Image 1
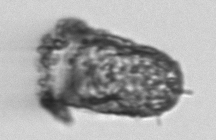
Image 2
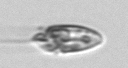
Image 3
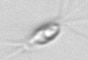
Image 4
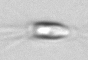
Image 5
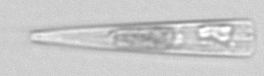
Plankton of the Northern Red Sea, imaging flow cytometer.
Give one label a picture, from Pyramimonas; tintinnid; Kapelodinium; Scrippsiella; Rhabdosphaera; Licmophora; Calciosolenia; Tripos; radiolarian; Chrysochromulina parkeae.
(1) tintinnid
(2) Kapelodinium
(3) Chrysochromulina parkeae
(4) Chrysochromulina parkeae
(5) Licmophora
